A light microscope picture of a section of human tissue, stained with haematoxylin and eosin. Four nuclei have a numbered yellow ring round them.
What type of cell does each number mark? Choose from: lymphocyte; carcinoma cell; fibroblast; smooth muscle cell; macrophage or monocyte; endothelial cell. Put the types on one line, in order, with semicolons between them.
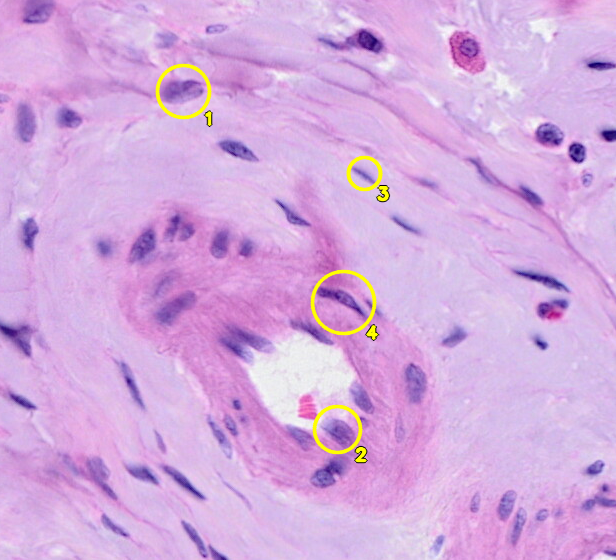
fibroblast; endothelial cell; fibroblast; smooth muscle cell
